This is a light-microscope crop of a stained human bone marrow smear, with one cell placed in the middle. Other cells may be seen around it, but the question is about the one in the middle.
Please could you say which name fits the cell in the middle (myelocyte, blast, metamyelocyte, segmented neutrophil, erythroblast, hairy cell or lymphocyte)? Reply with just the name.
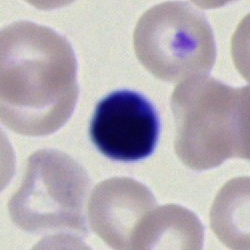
lymphocyte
